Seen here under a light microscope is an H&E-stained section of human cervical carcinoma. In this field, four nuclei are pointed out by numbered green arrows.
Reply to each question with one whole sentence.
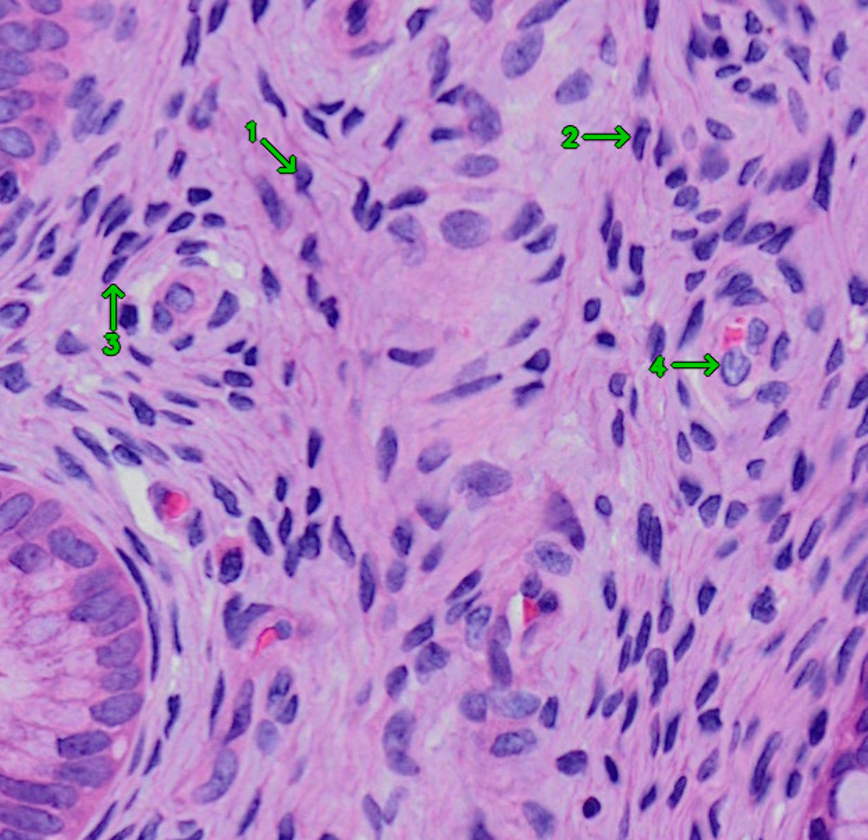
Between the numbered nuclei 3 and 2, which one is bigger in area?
The larger nucleus is 2, at roughly 1.5 times the area of 3.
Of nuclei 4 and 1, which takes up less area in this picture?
It is nucleus 1; nucleus 4 has about 2 times its area.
